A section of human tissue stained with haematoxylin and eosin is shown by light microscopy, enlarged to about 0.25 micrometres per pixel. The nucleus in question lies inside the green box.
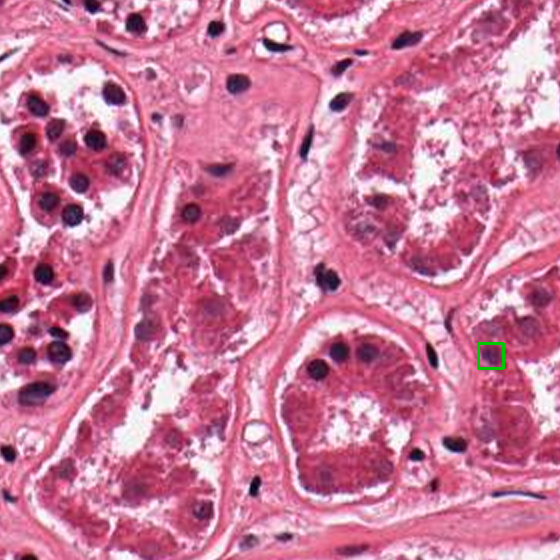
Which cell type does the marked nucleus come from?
proximal tubule cell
